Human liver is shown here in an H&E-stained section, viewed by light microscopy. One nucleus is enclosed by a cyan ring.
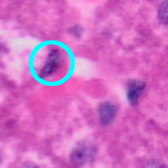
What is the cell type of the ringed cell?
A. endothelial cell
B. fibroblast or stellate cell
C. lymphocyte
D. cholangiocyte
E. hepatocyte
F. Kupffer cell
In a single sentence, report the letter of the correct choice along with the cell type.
Option A, identifying the ringed cell as an endothelial cell, is correct.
